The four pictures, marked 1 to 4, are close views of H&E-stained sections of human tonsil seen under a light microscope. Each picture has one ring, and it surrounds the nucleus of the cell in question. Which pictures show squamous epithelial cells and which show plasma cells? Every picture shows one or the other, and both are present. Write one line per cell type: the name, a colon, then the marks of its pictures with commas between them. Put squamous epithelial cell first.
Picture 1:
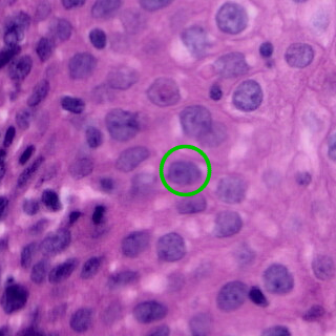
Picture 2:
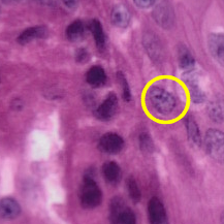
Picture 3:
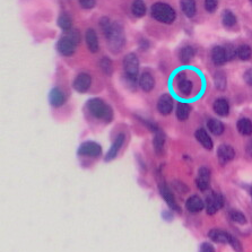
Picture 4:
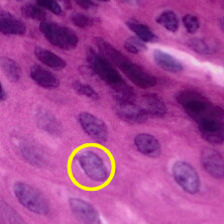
squamous epithelial cell: 1, 2, 4
plasma cell: 3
